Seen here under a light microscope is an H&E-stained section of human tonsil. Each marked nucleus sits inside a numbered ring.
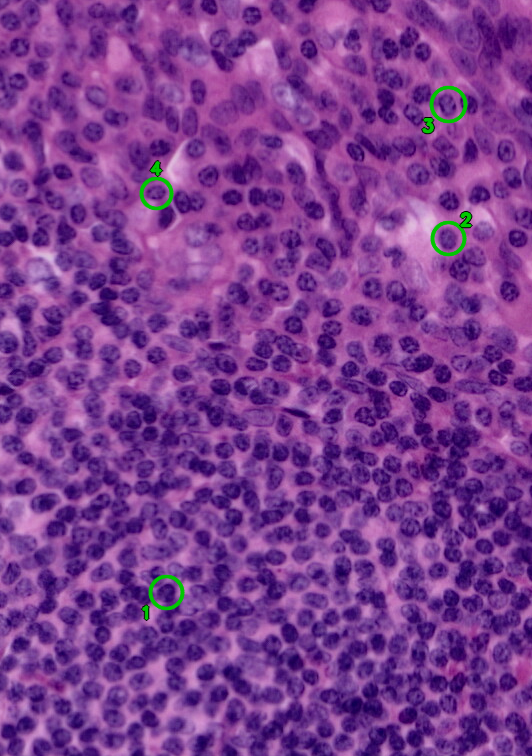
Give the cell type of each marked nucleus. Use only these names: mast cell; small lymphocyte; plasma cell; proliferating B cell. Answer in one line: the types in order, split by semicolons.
small lymphocyte; plasma cell; plasma cell; plasma cell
